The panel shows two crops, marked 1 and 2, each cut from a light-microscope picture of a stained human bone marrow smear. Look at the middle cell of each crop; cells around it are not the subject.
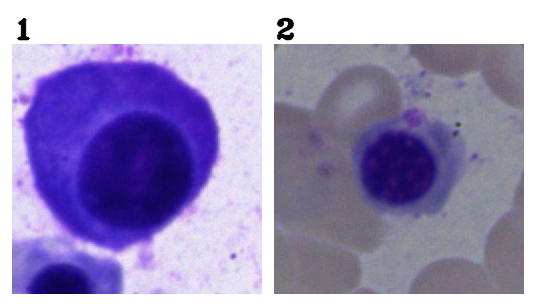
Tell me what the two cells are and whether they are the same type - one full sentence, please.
No, an erythroblast is the cell of crop 2, while a plasma cell is the cell of crop 1.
